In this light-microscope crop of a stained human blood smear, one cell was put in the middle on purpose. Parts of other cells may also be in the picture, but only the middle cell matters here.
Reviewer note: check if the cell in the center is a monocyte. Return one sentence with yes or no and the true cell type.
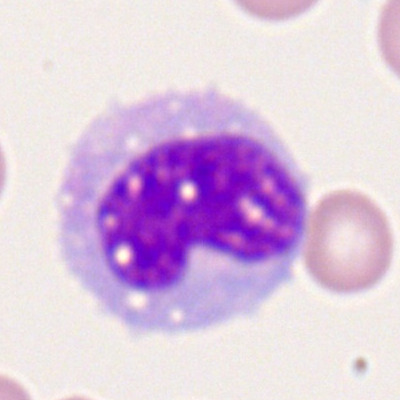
Yes, what sits in the middle of the crop is a monocyte.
